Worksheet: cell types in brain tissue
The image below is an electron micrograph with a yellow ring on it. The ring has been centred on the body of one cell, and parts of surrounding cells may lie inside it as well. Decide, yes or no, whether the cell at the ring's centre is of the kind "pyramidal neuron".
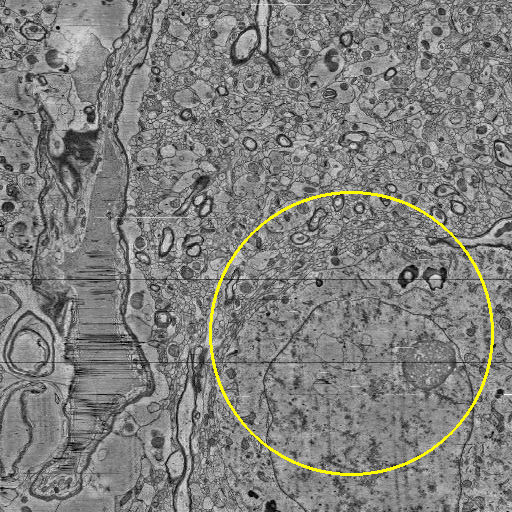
yes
